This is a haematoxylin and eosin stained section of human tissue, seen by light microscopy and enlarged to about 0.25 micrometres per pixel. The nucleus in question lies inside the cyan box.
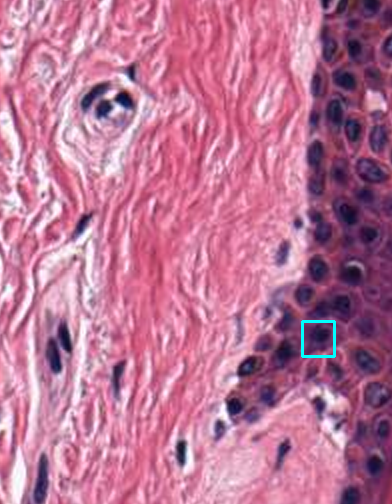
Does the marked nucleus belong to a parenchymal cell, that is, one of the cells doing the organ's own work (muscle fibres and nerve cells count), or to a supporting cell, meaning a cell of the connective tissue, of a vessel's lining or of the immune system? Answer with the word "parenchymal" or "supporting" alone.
parenchymal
